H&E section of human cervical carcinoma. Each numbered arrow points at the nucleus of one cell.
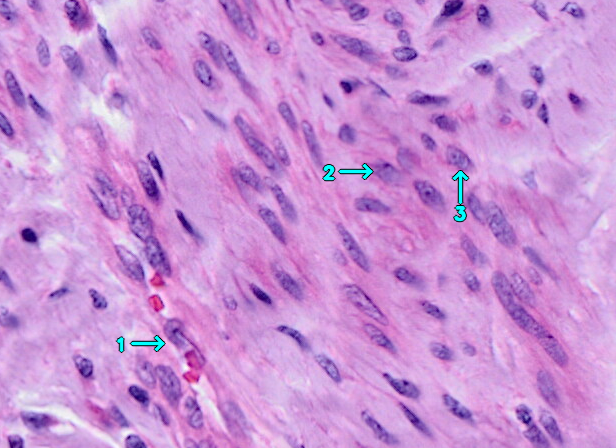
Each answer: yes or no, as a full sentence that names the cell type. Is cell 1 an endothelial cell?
Yes, and to answer plainly, cell 1 is an endothelial cell.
